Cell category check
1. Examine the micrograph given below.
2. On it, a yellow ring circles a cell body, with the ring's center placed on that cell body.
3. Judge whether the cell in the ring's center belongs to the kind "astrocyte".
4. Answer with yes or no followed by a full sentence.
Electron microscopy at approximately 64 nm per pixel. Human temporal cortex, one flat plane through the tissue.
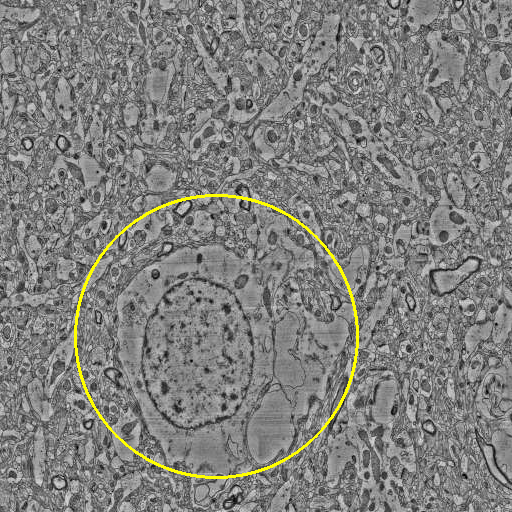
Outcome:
Yes, the cell at the center of the yellow ring belongs to that kind.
